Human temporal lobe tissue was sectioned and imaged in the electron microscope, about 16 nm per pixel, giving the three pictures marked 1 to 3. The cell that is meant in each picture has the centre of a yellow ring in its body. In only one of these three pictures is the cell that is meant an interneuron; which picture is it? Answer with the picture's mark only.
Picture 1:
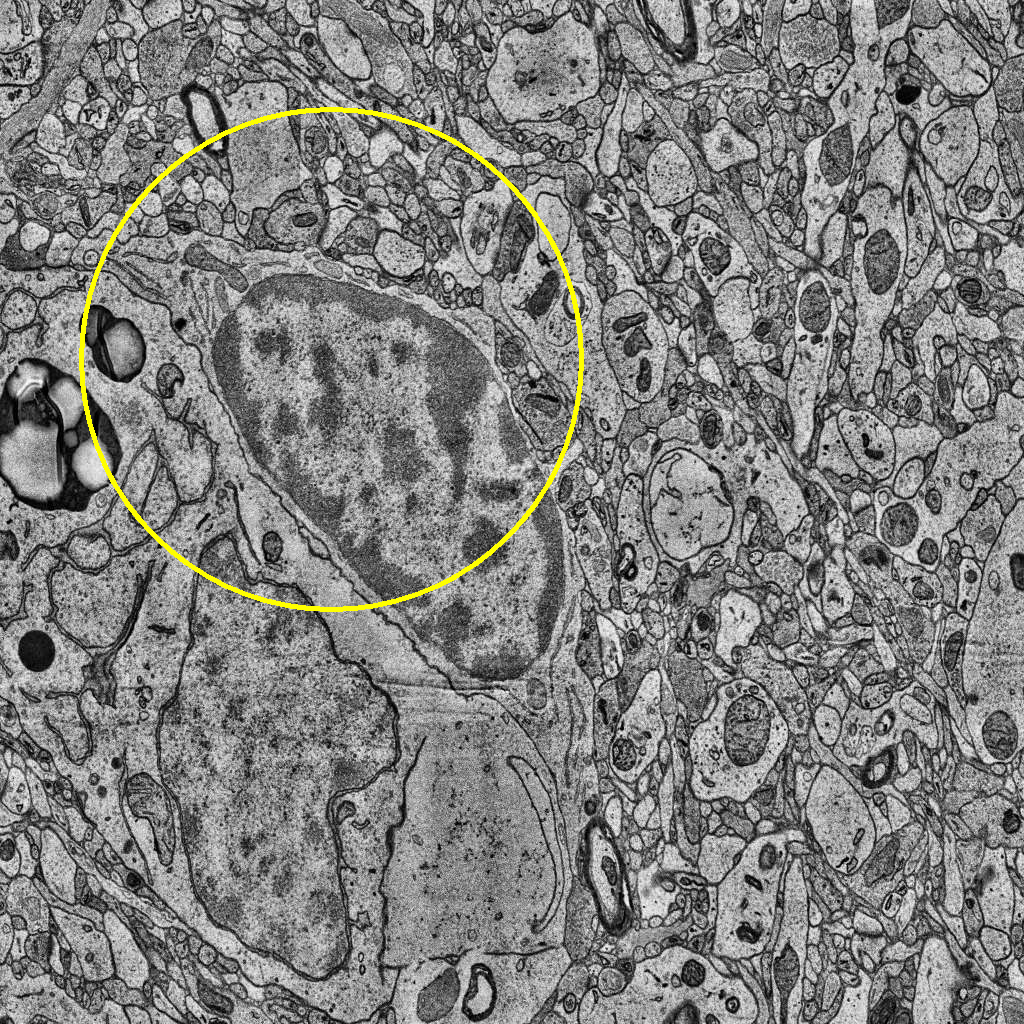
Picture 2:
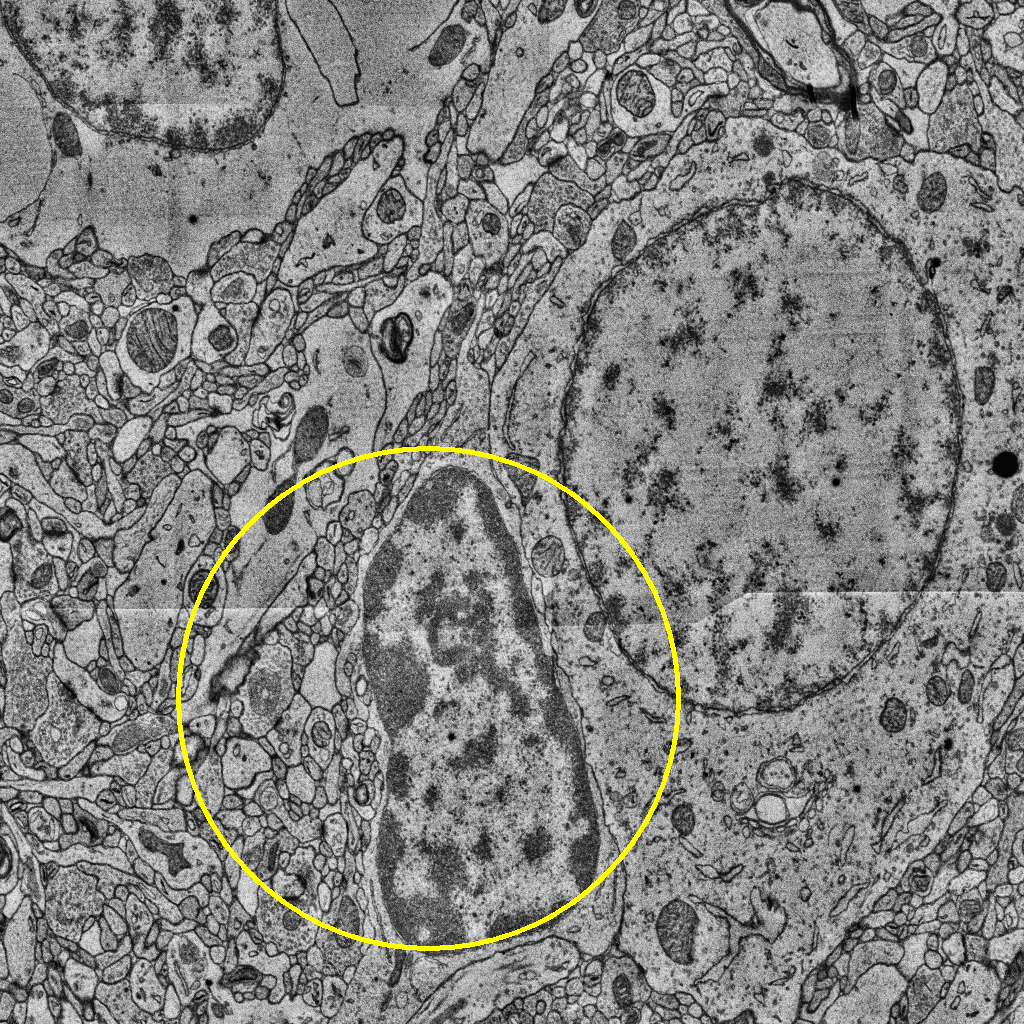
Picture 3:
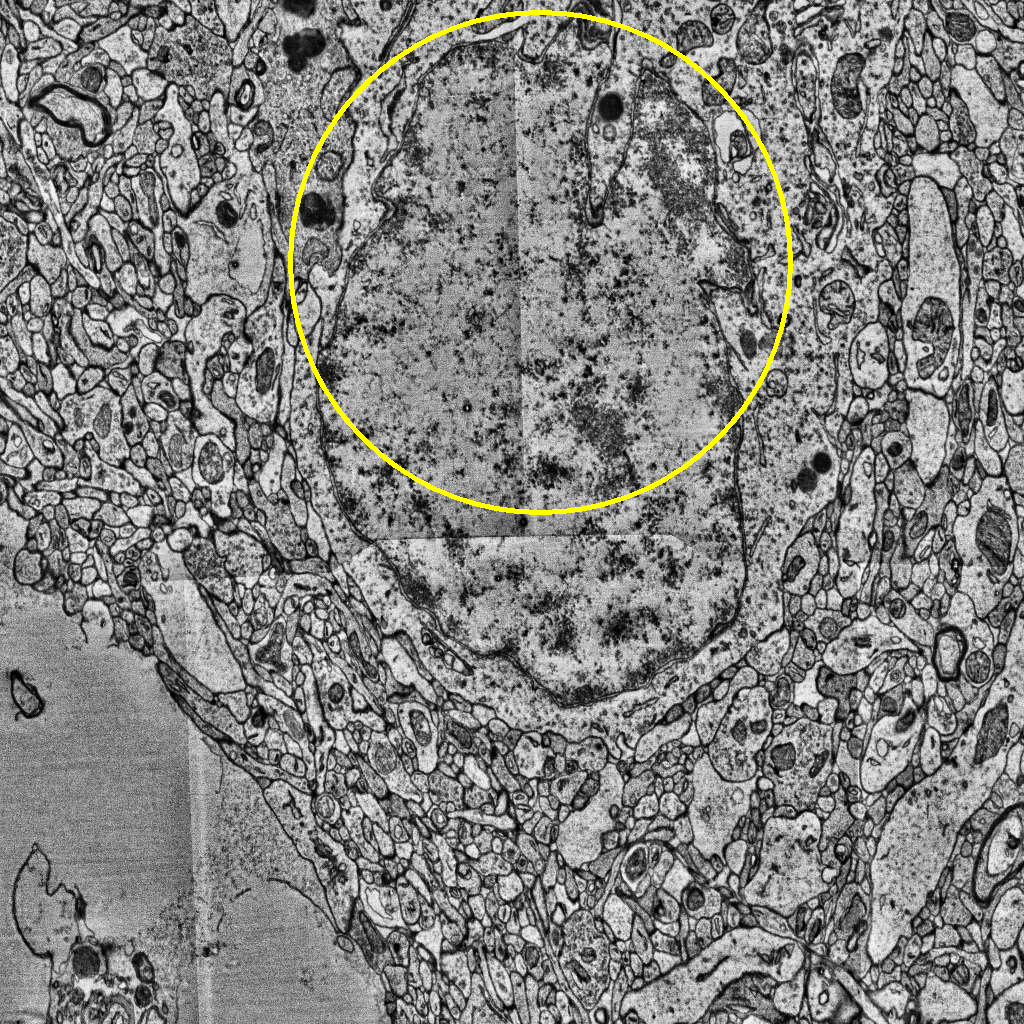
3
